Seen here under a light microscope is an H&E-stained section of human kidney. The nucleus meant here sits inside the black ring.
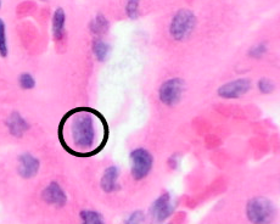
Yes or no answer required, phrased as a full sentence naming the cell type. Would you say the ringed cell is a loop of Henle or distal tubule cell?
Yes, the ringed cell has been identified as a loop of Henle or distal tubule cell.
